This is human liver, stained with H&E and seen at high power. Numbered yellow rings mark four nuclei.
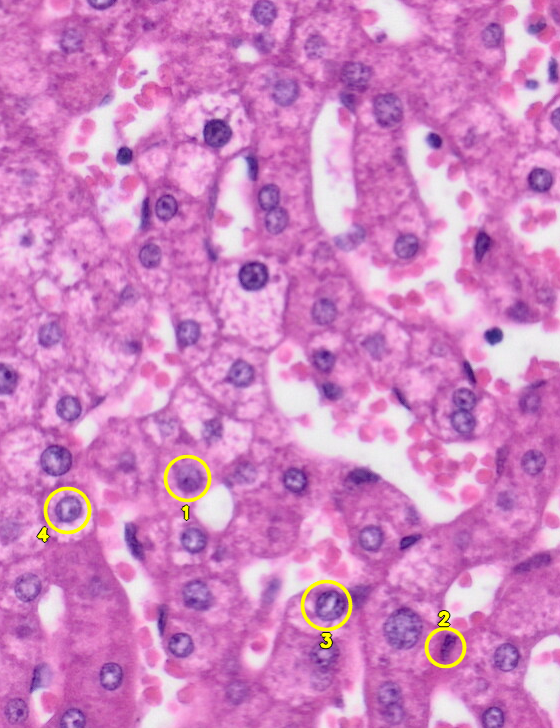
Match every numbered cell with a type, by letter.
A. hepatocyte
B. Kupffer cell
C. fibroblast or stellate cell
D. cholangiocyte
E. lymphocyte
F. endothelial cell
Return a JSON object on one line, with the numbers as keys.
{"1": "A", "2": "C", "3": "A", "4": "A"}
